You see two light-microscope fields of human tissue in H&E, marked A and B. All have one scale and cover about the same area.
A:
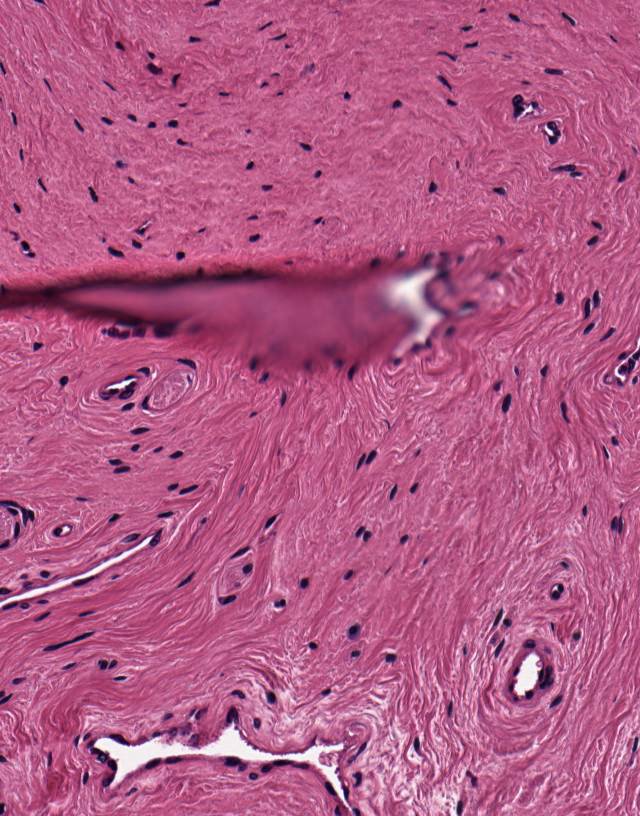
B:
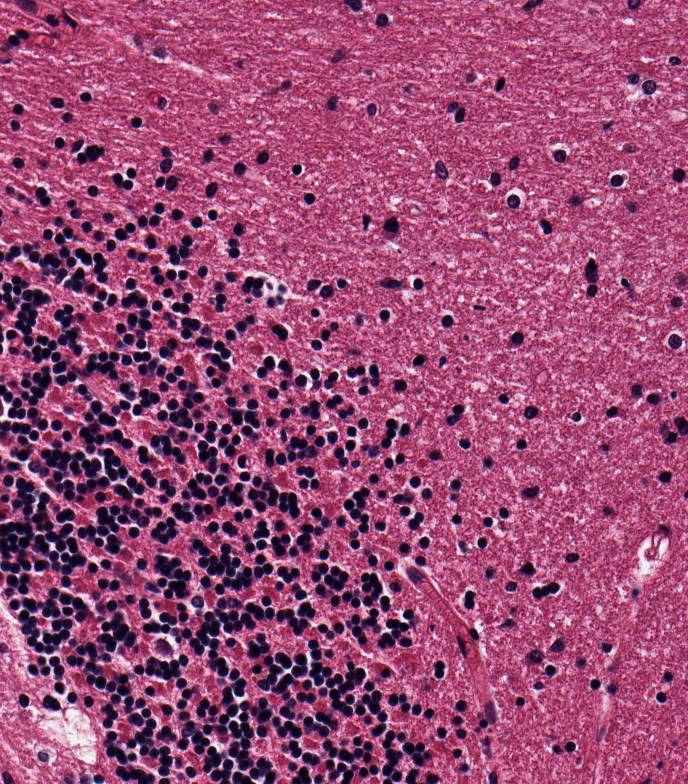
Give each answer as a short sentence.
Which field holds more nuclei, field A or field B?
More nuclei lie in field B than in field A.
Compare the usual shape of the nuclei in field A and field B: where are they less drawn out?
Rounder nuclei lie in field B.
